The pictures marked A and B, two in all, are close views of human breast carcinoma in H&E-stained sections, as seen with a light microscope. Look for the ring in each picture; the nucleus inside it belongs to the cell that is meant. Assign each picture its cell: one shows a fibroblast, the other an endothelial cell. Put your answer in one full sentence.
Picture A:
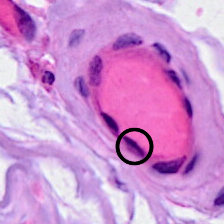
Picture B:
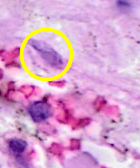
It is picture A that shows an endothelial cell, and picture B that shows a fibroblast.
